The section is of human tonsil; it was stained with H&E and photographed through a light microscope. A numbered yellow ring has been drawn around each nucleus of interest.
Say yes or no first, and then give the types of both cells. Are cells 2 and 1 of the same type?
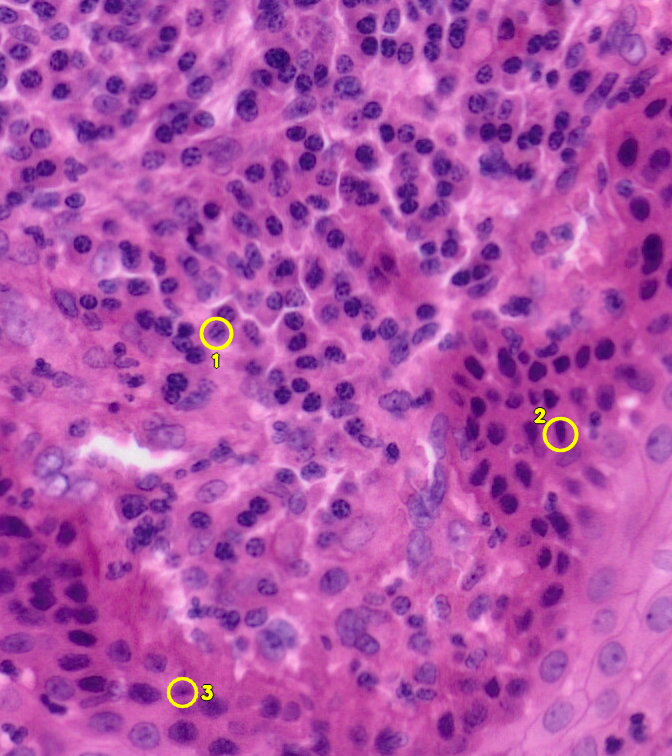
No, the cell at number 2 is a squamous epithelial cell, and the cell at number 1 is a plasma cell.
